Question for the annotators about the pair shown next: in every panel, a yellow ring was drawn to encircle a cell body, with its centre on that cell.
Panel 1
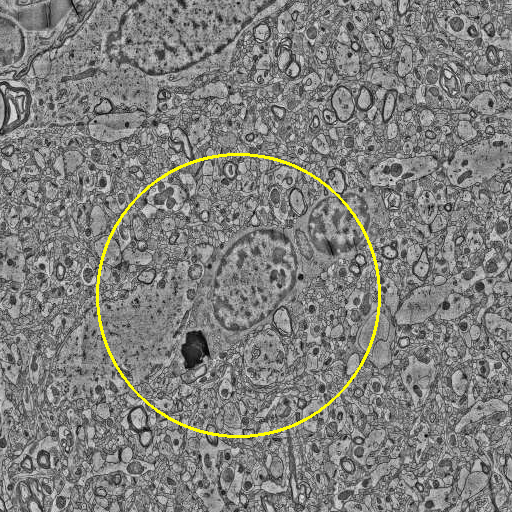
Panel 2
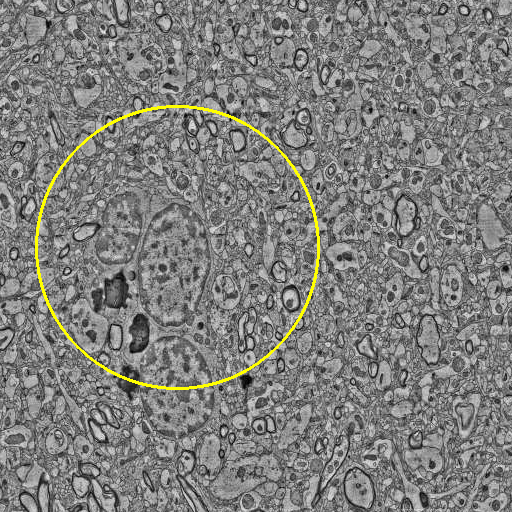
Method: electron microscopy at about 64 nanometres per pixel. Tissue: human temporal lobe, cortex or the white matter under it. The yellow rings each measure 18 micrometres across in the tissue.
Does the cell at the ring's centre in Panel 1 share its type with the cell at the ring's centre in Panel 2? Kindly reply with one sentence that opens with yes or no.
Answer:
Yes, in Panels 1 and 2 the cells at the ring centres belong to a single type.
